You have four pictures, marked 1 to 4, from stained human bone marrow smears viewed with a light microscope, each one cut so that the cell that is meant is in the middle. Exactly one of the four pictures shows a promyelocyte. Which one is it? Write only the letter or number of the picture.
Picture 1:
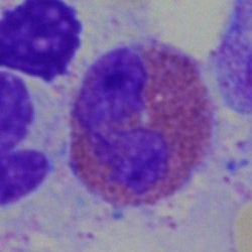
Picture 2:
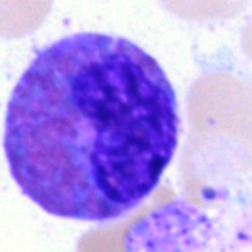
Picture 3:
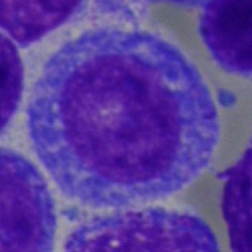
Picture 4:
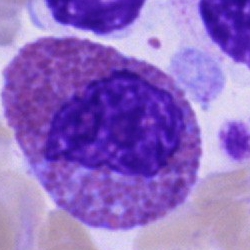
3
